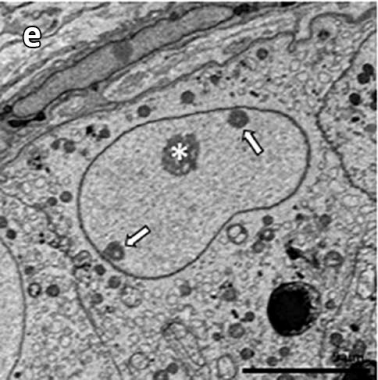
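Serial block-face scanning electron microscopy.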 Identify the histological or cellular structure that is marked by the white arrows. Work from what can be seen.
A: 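Small dense patches sit against the inner side of the nuclear envelope. The rest of the nucleoplasm is pale and finely granular. On this evidence: heterochromatin patches.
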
